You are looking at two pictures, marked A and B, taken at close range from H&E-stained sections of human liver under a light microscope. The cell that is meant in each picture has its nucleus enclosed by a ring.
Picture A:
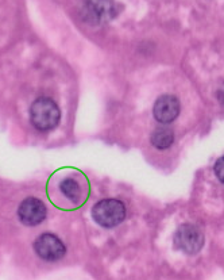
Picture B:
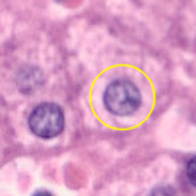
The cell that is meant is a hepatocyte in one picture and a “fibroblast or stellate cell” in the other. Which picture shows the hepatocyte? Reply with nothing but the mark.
B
